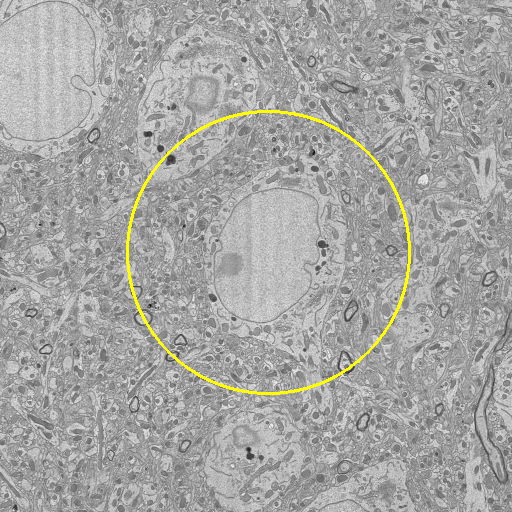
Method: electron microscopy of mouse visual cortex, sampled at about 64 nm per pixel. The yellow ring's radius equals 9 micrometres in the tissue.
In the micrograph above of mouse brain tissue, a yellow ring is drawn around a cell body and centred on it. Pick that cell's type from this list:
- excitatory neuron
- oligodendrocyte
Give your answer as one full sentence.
Going by the list, an excitatory neuron is the cell on which the yellow ring is centred.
